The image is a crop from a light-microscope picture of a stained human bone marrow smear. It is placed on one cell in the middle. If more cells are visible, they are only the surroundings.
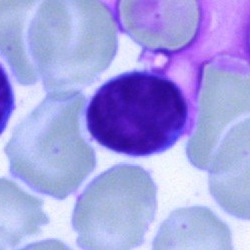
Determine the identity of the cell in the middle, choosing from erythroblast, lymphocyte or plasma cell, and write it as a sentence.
The cell nearest the centre of this crop is a lymphocyte.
